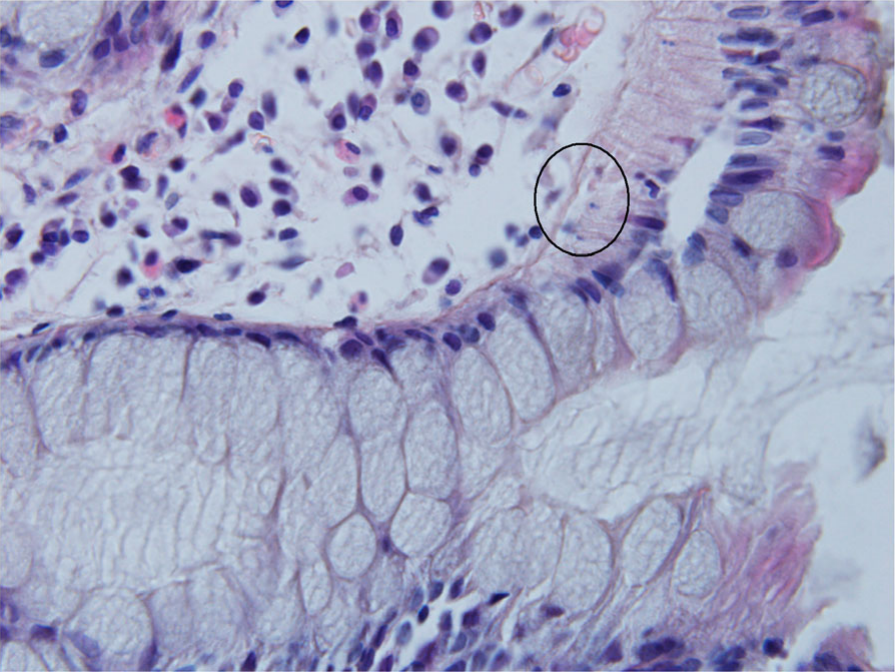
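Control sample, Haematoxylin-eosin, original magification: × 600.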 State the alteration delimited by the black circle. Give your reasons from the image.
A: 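A cluster of apoptotic bodies. The circle lies over the epithelial lining near the surface, away from the crypt's base. Inside the circle are small, dark purple, fragment-like bodies rather than whole elongated nuclei.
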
